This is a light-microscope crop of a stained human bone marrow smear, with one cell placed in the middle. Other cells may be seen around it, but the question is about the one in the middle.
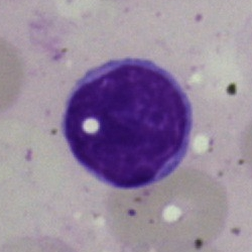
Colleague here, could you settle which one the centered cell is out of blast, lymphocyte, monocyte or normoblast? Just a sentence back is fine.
The middle cell in this particular crop is a lymphocyte.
